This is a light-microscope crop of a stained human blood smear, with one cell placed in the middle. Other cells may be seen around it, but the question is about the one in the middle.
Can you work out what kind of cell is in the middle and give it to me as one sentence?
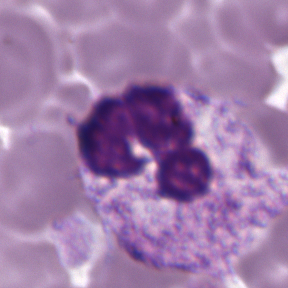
In this smear crop, the middle cell is a segmented neutrophil.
